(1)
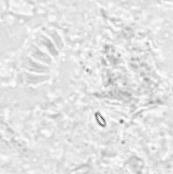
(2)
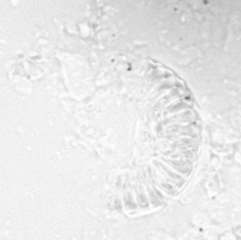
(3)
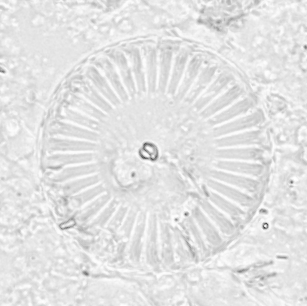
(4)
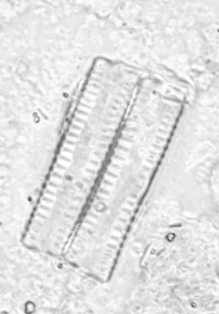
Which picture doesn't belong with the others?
Picture 4.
